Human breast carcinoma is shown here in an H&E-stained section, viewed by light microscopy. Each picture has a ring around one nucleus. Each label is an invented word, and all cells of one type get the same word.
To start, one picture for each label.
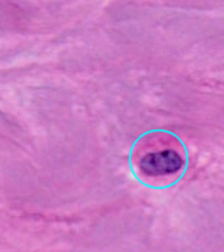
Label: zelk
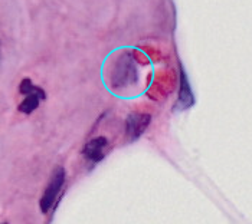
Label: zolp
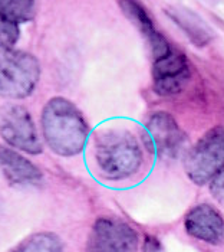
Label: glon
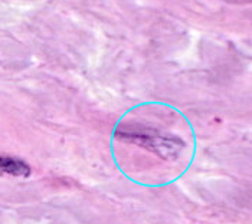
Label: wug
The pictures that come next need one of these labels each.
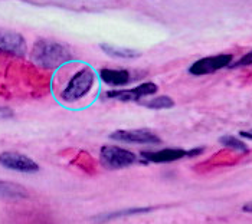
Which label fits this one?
zolp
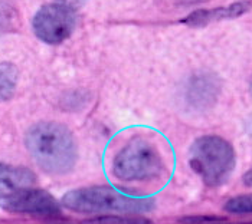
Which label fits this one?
glon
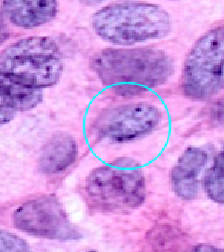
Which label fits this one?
glon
